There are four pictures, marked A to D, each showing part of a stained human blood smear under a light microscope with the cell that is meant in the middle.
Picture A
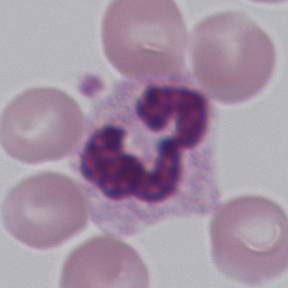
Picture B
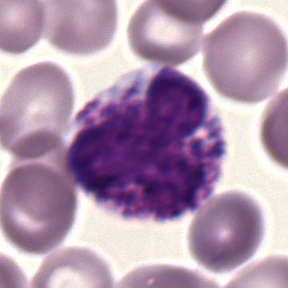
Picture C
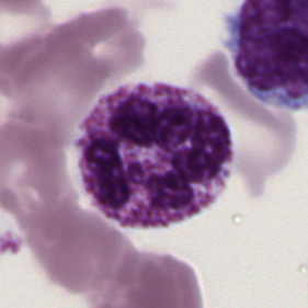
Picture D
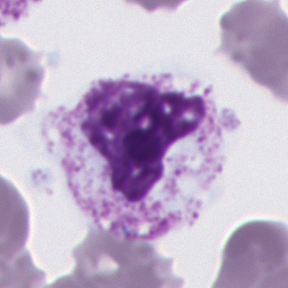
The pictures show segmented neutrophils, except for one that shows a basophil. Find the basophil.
B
